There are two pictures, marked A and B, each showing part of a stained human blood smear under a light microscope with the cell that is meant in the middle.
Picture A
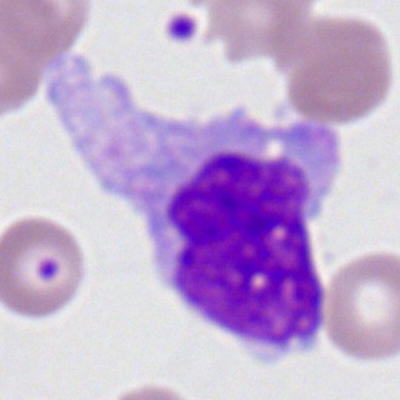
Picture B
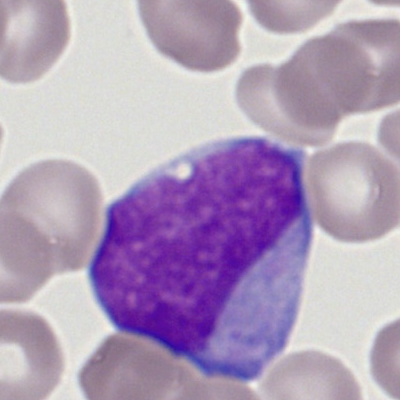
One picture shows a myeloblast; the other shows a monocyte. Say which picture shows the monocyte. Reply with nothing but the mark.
A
